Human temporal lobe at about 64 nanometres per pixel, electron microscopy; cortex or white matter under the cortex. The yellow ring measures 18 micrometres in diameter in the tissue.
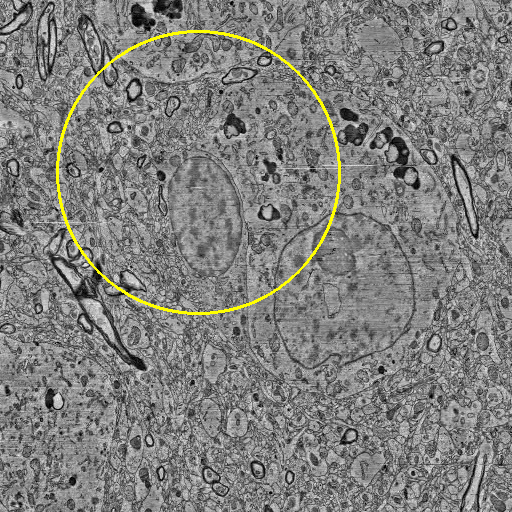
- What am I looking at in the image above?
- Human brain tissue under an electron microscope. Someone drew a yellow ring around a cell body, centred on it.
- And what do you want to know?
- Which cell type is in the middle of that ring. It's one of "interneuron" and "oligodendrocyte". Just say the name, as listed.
oligodendrocyte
